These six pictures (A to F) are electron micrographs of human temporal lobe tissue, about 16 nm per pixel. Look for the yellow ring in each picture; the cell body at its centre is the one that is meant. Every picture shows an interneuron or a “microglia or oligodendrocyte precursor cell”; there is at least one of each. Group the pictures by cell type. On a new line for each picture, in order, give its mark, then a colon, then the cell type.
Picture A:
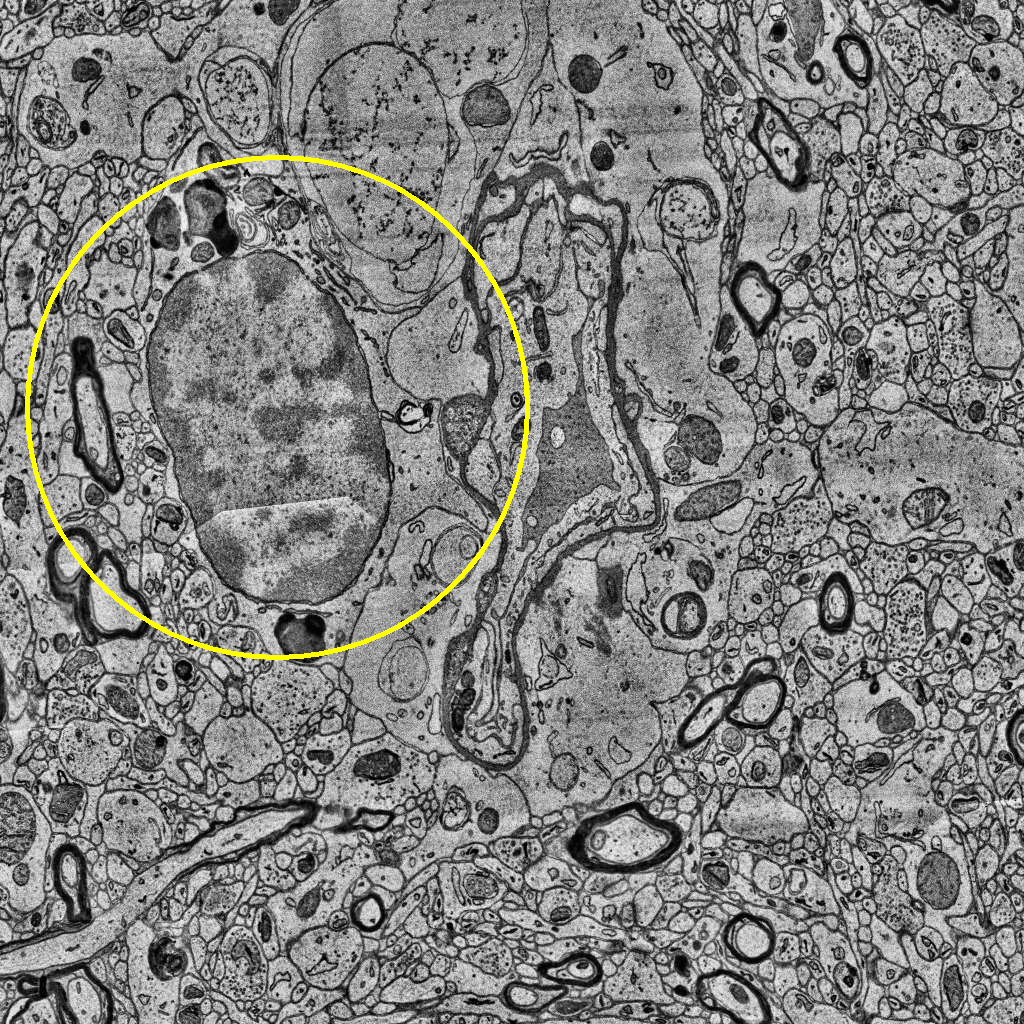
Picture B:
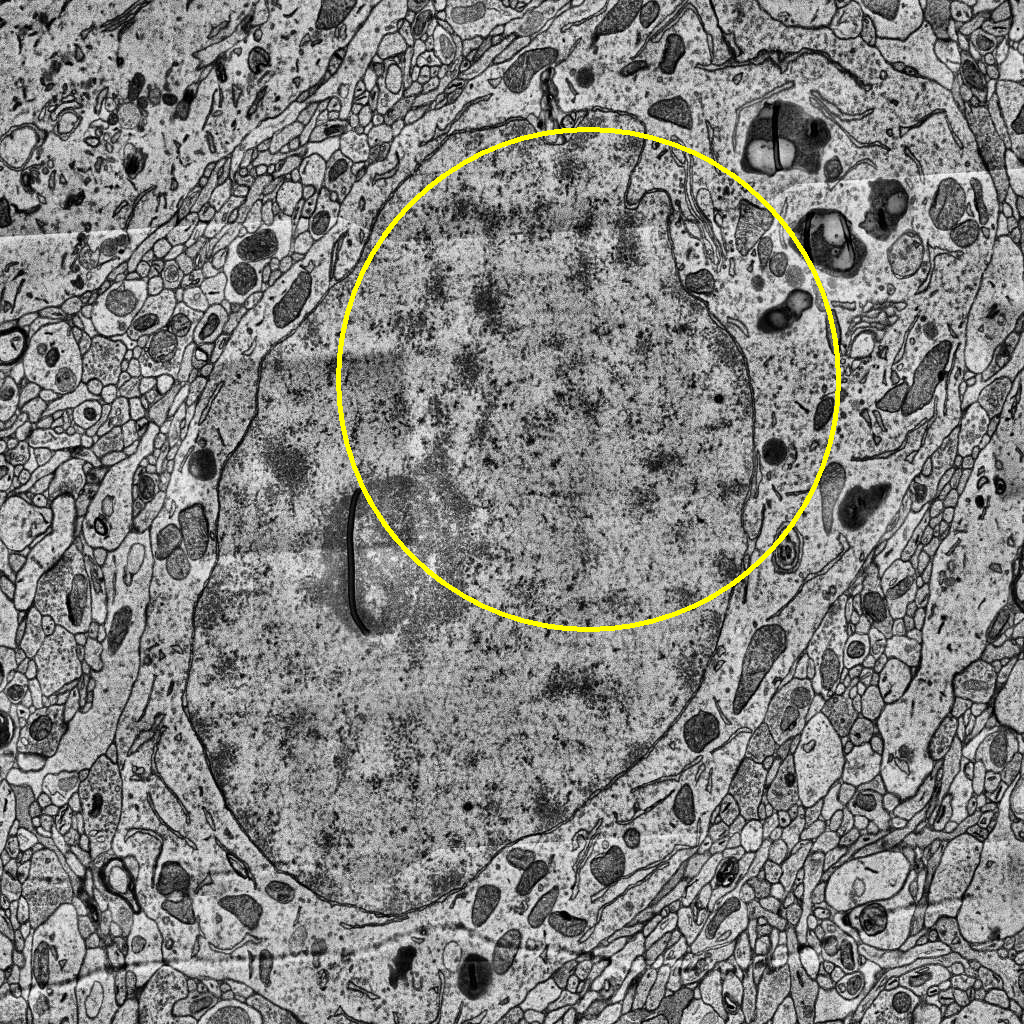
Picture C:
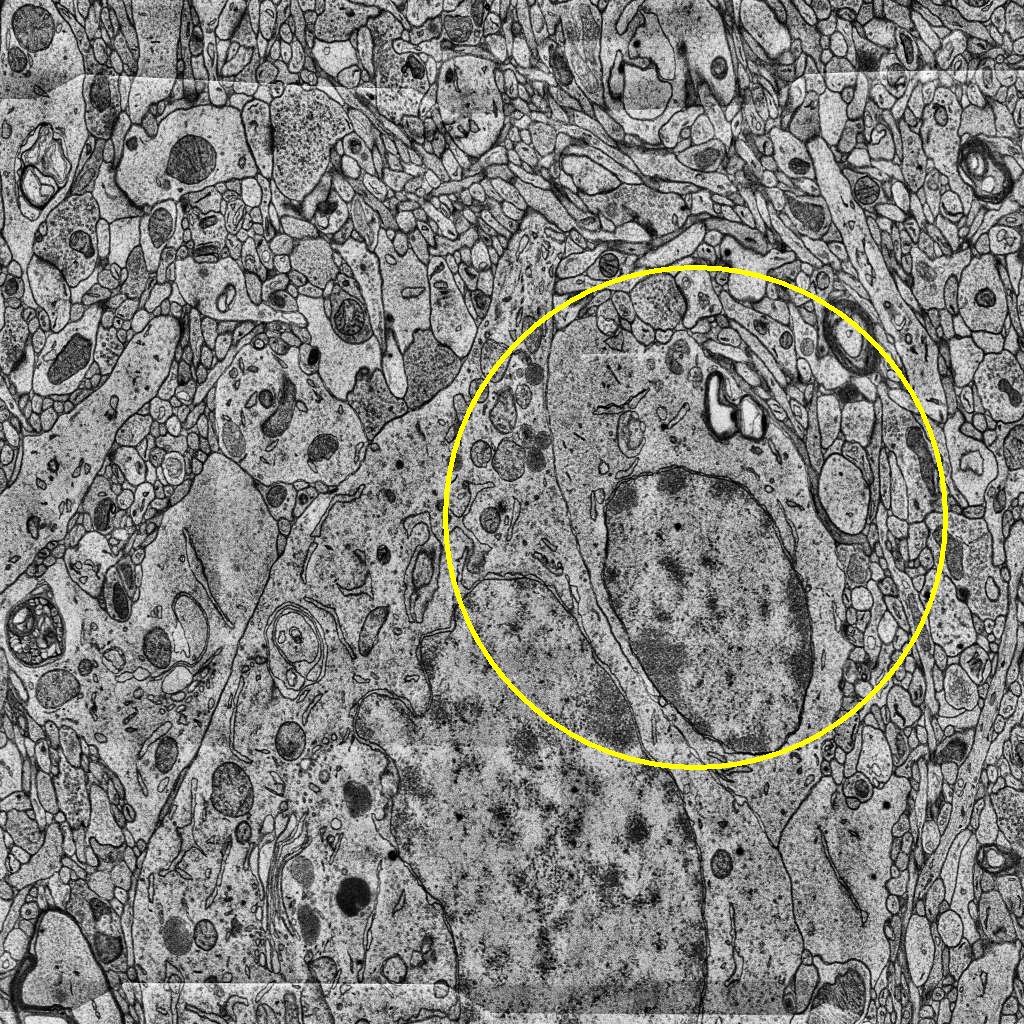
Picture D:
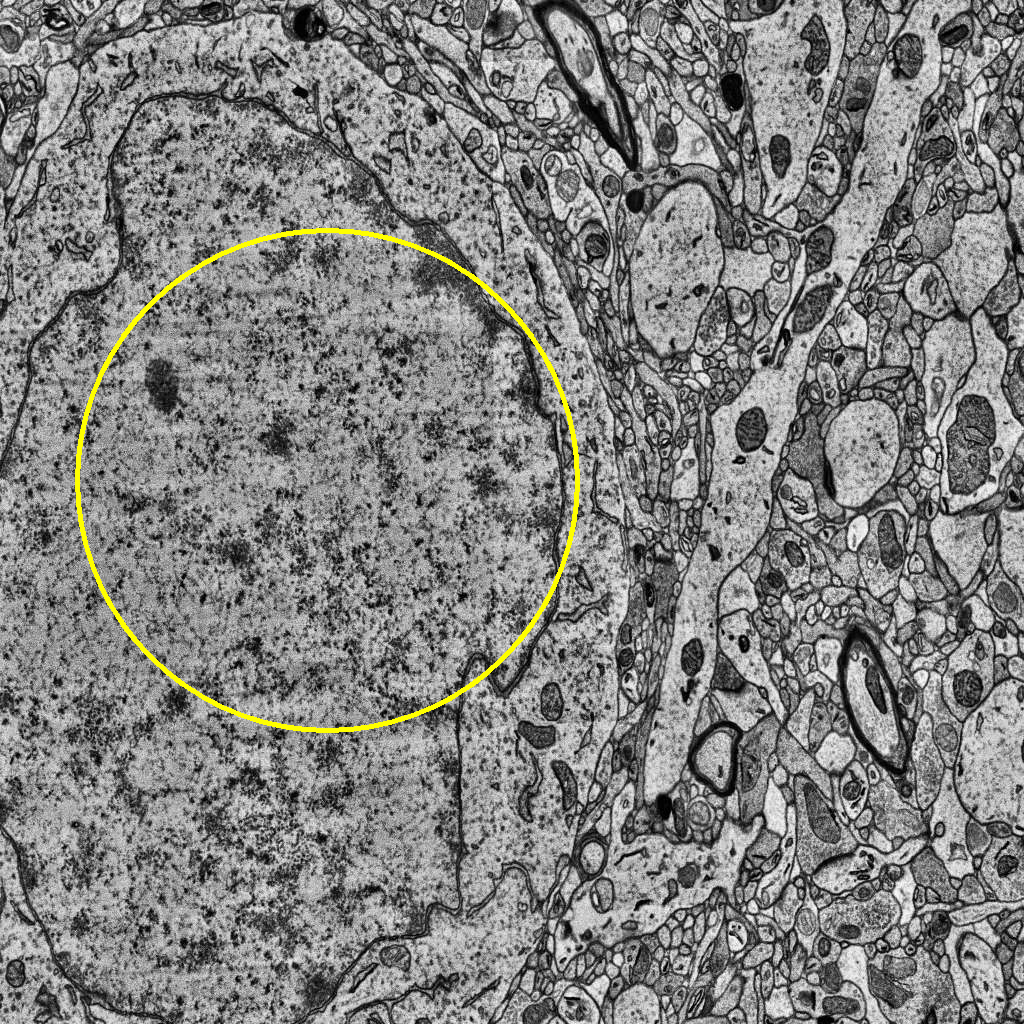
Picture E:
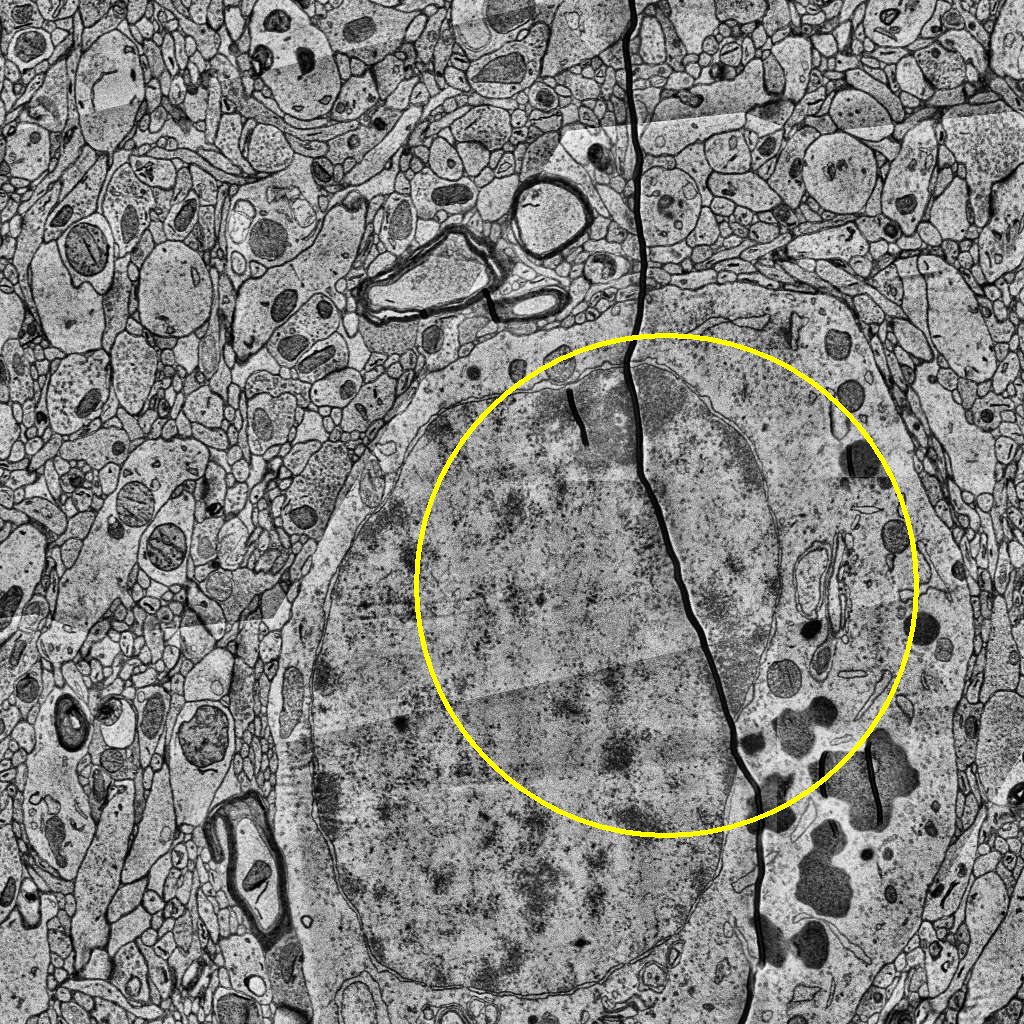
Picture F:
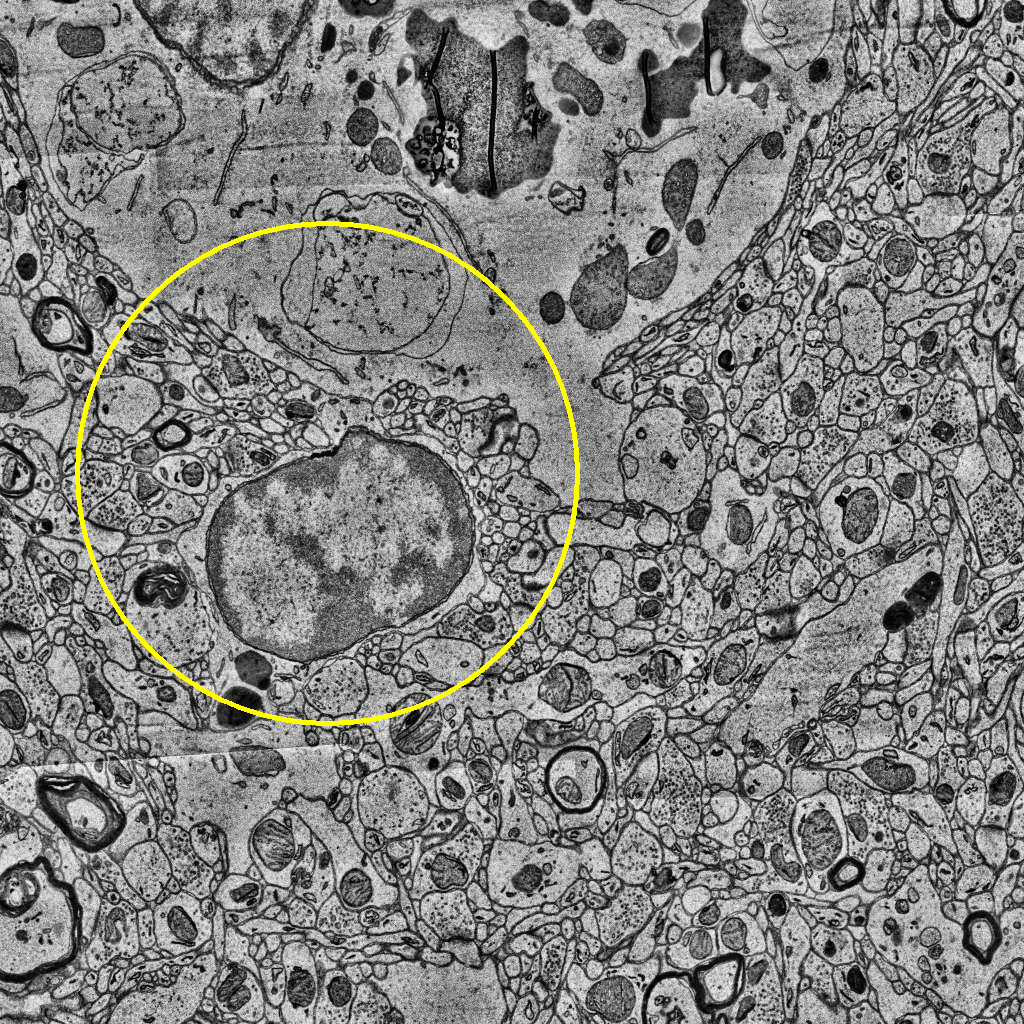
A: microglia or oligodendrocyte precursor cell
B: interneuron
C: microglia or oligodendrocyte precursor cell
D: interneuron
E: interneuron
F: microglia or oligodendrocyte precursor cell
